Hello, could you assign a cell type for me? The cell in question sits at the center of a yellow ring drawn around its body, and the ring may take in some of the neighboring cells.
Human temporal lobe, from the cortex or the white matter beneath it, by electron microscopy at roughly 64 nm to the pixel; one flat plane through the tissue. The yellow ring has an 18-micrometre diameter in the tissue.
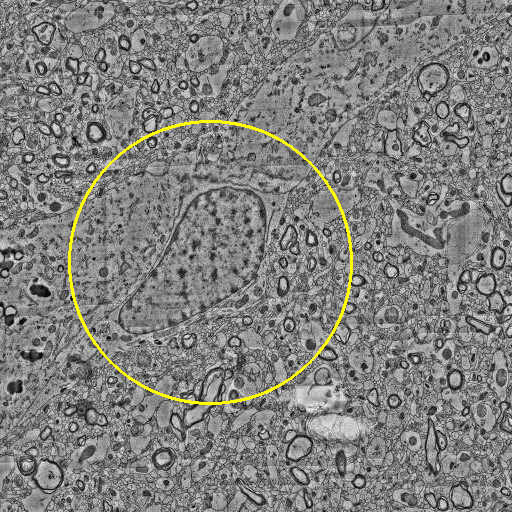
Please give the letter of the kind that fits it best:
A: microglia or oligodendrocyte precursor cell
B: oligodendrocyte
A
